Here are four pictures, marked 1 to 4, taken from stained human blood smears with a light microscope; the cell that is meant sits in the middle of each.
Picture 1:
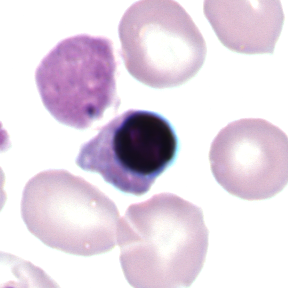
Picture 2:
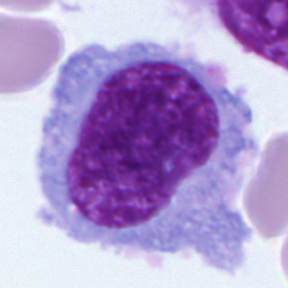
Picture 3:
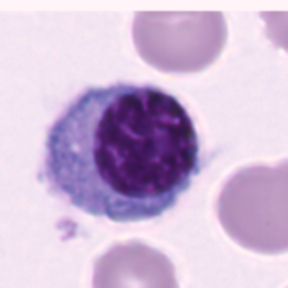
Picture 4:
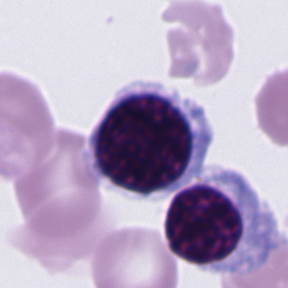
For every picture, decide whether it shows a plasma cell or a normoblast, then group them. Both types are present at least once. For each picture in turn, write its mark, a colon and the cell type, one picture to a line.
1: normoblast
2: plasma cell
3: plasma cell
4: normoblast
